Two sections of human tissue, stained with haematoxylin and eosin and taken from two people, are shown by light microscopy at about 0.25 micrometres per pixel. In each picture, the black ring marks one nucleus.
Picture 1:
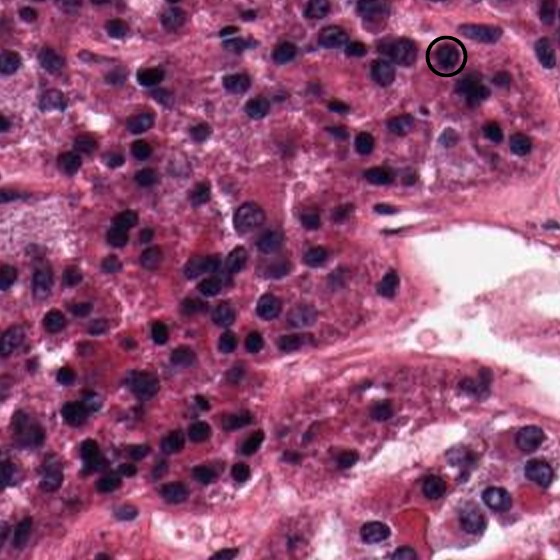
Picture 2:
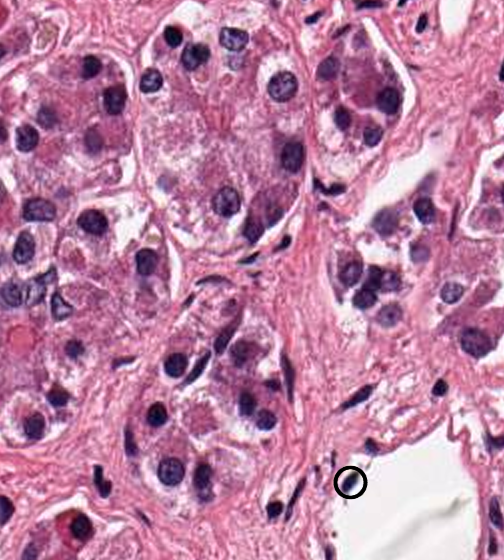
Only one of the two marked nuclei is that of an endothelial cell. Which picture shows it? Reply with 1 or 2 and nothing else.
2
